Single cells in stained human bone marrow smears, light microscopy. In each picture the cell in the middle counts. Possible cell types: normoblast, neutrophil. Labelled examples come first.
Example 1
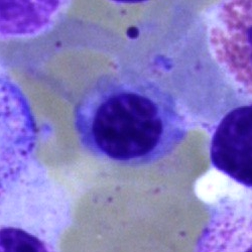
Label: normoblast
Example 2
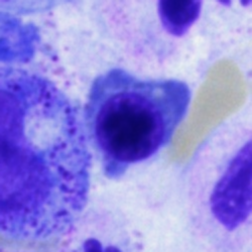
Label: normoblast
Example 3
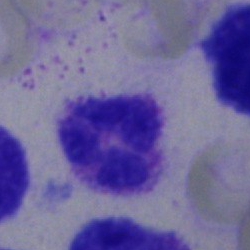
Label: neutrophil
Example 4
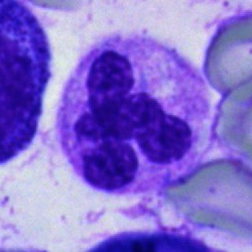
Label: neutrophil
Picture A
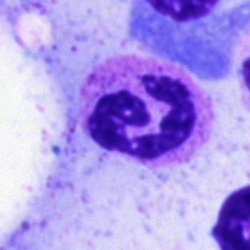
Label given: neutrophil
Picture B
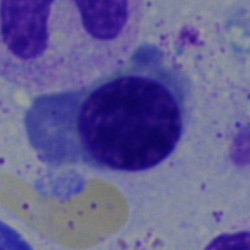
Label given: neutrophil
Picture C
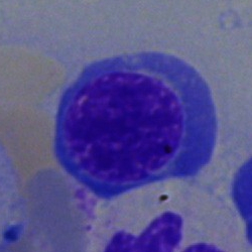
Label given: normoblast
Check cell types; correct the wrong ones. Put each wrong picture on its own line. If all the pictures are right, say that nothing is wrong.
B should be normoblast, not neutrophil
